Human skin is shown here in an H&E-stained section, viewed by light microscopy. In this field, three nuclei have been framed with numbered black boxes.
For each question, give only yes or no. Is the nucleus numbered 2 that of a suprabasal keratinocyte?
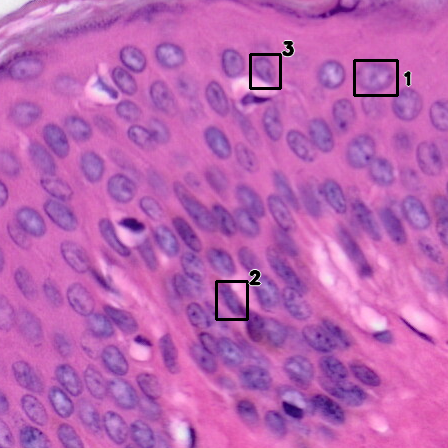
no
